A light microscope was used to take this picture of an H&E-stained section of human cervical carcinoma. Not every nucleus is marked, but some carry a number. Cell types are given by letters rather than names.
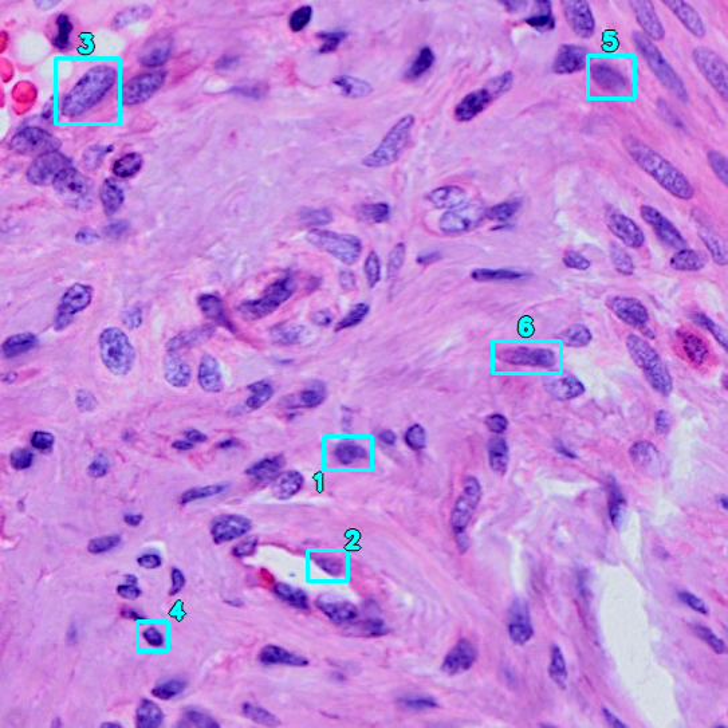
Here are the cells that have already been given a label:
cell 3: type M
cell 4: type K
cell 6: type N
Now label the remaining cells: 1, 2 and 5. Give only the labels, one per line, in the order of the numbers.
type K
type M
type N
